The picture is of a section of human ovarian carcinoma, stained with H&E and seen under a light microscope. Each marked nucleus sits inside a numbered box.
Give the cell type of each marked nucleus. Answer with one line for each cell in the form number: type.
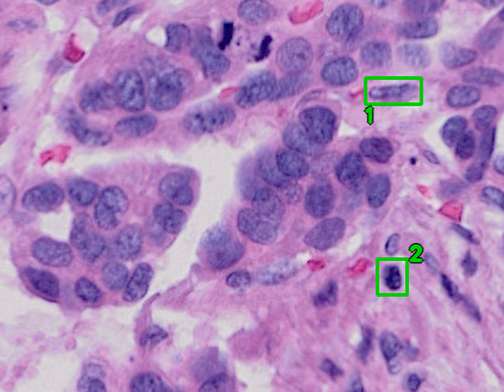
1: fibroblast
2: lymphocyte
